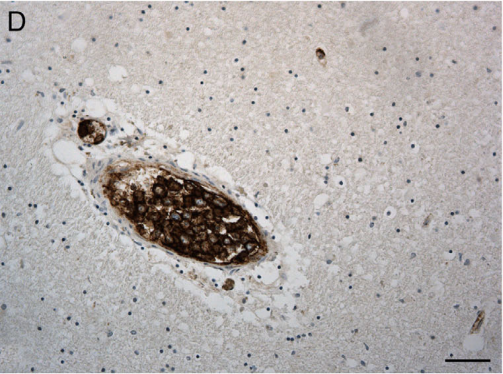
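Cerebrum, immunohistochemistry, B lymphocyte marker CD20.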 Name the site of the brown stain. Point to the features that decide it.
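Intraluminal. The brown-stained cells fill the inside of a vessel with a thin wall. The surrounding tissue is largely unstained.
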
